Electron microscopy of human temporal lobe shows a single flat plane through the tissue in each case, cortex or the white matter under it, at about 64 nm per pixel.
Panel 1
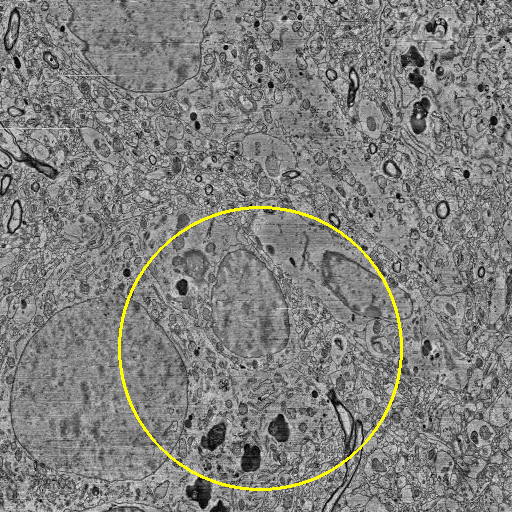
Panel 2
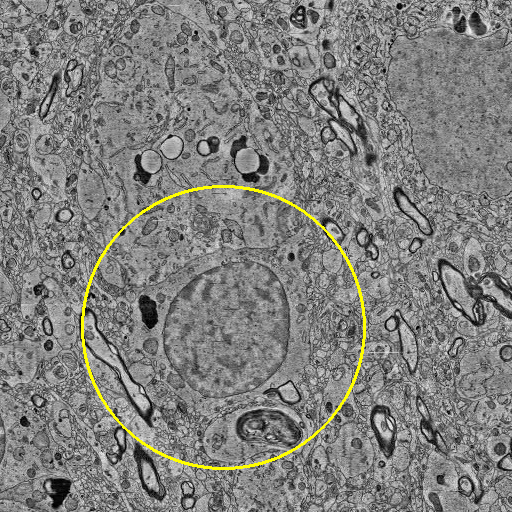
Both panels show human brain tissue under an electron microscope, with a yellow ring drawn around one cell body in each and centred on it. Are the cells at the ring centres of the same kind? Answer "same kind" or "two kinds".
same kind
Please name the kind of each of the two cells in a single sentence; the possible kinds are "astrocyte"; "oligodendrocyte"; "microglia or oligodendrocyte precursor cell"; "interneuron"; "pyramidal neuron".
In each of the two pictures, the ringed cell is an oligodendrocyte.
